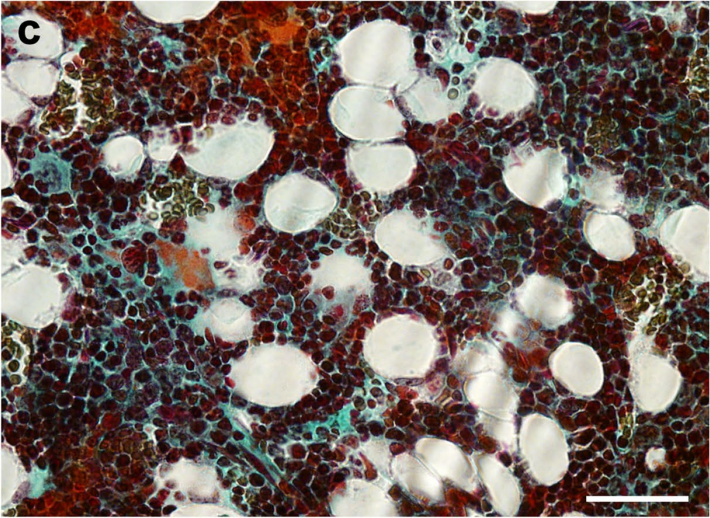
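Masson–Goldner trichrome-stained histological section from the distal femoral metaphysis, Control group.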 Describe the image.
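This is bone marrow with many adipocytes scattered among densely packed hematopoietic cells. Small green-blue stained strands and patches run between the cells, and a few orange-red areas are seen, likely red blood cells. The adipocytes vary in size but most are moderate, many of them much smaller than a wide field of the packed marrow cells around them.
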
